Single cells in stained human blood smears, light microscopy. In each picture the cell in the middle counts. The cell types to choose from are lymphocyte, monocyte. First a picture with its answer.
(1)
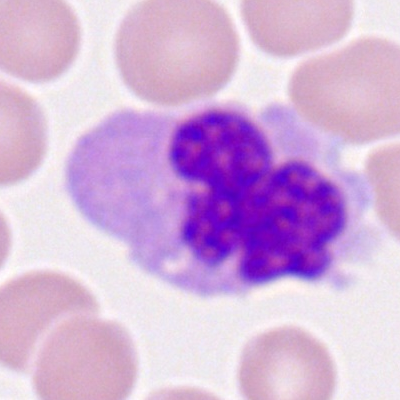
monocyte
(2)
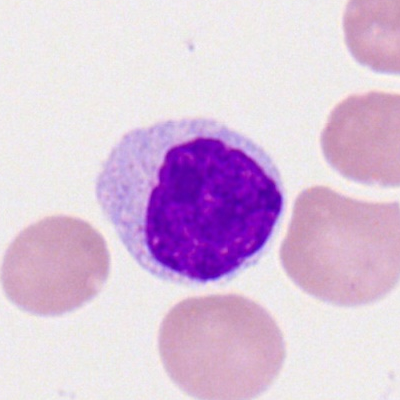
lymphocyte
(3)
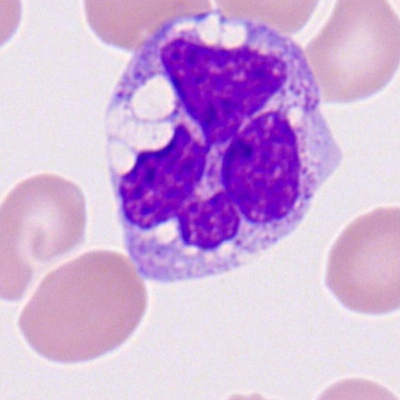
monocyte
